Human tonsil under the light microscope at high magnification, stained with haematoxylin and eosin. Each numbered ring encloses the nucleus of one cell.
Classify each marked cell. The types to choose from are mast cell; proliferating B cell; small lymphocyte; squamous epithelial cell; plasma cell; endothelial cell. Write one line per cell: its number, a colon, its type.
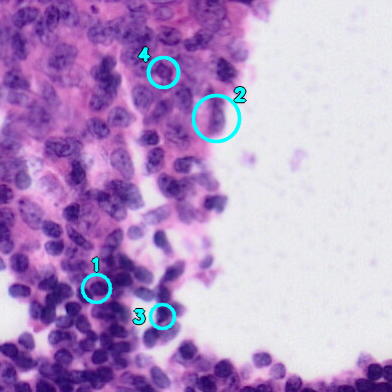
1: small lymphocyte
2: proliferating B cell
3: small lymphocyte
4: proliferating B cell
